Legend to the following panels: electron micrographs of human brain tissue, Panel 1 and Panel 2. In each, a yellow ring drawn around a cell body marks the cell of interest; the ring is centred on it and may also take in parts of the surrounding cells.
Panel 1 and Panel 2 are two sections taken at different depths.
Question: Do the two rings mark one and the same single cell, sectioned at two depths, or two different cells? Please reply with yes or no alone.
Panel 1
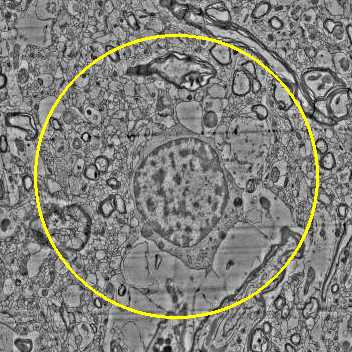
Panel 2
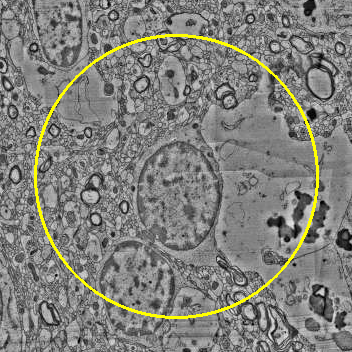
no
